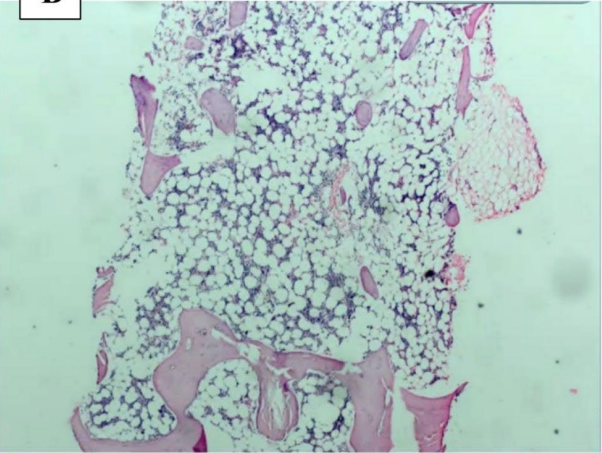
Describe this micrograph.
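This low-power view of a bone marrow core shows hypocellular marrow. Pink bony trabeculae run through the sample and enclose the marrow space. Most of that space is taken up by round, clear fat vacuoles, packed closely together like a honeycomb. Between the fat cells, only thin strands and small patches of purple-staining blood-forming cells remain.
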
